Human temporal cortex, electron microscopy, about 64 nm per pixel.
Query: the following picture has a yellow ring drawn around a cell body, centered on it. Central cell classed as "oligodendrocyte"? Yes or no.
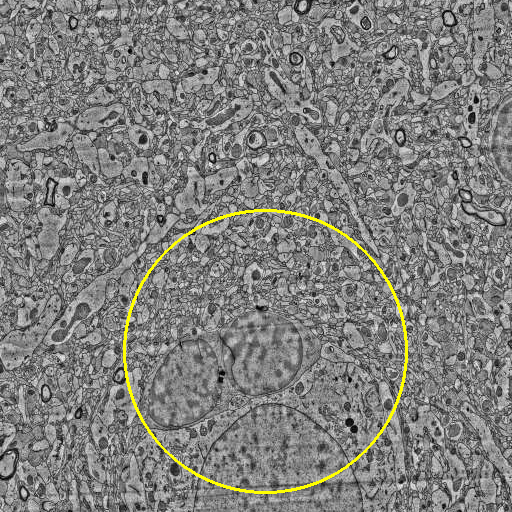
yes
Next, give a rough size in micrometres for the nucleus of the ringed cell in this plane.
In this plane the ringed cell's nucleus is roughly 6 micrometres across.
